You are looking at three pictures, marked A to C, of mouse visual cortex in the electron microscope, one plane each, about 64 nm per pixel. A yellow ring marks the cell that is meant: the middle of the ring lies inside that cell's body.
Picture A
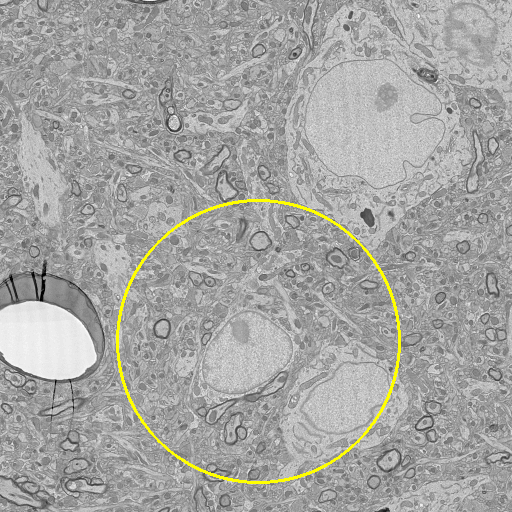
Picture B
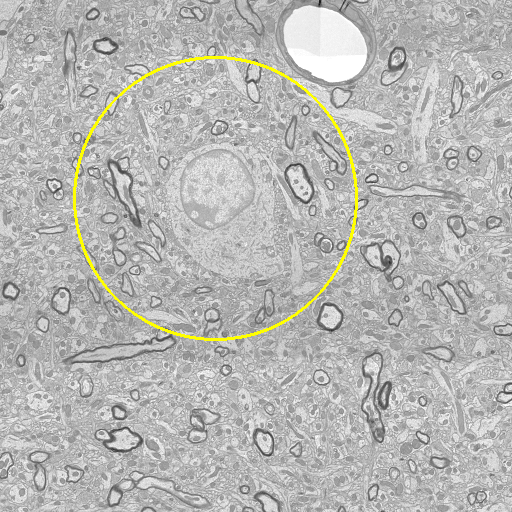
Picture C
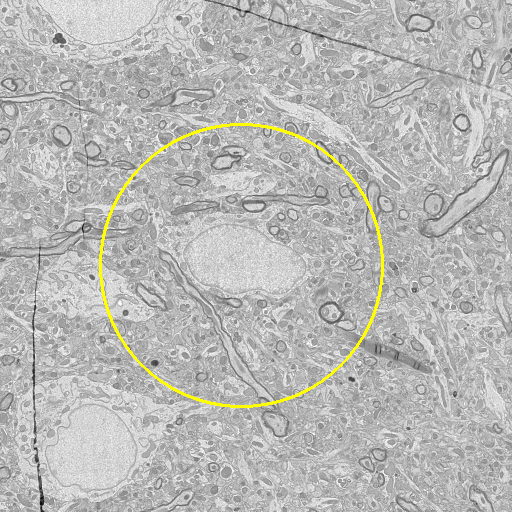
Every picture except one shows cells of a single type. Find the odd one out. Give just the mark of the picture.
B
